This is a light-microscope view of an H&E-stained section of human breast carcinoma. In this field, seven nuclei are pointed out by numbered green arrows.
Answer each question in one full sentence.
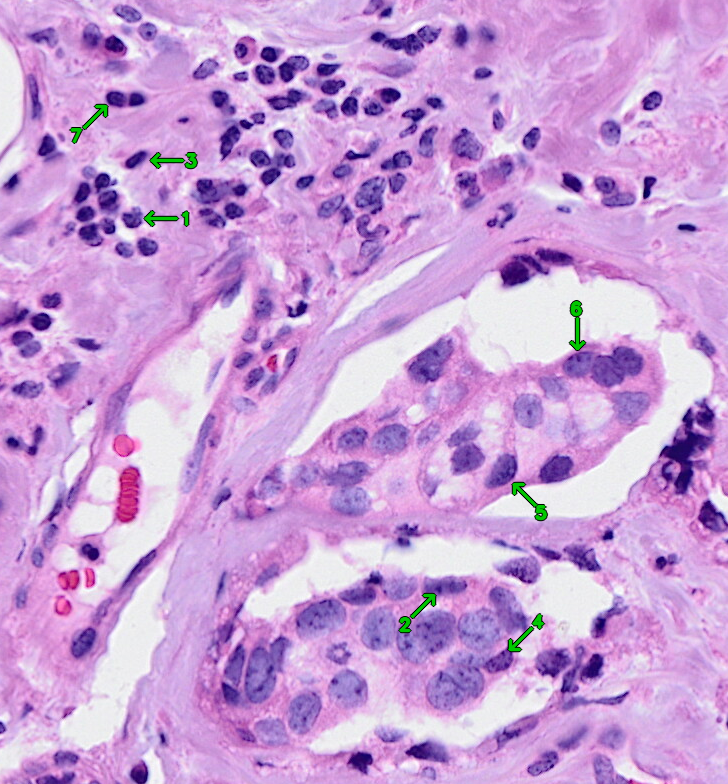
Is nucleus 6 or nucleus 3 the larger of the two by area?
Of the two, number 6 is bigger and takes up about 2 times the area of number 3.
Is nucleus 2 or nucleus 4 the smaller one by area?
Number 4 is smaller, since number 2 takes up about 1.5 times as much area.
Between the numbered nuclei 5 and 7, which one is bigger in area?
Nucleus 5 is larger, with an area about 2.5 times that of nucleus 7.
